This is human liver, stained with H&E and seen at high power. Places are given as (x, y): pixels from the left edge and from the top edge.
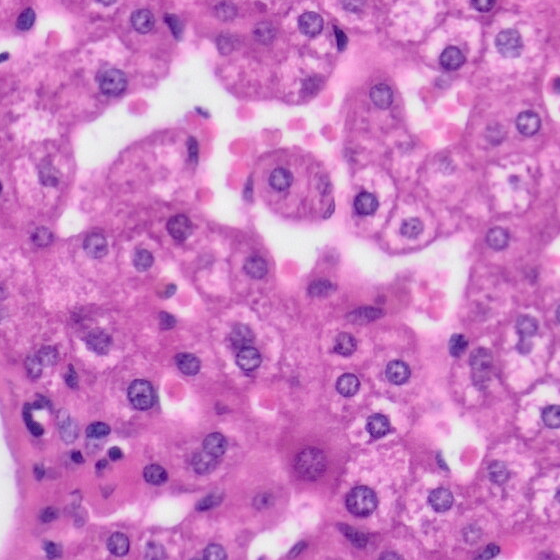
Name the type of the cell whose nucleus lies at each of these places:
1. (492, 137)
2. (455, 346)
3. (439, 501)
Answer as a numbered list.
1. hepatocyte
2. fibroblast or stellate cell
3. hepatocyte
